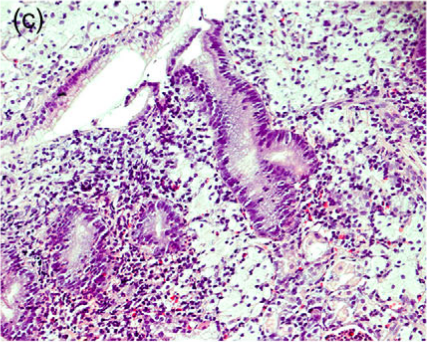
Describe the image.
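Inflamed gastric mucosa with numerous foamy macrophages in the lamina propria. Pale cells with clear, vacuolated cytoplasm and small nuclei lie in loose clusters between the glands, especially toward the upper right. Gastric glands lined by tall columnar epithelium with pale apical cytoplasm and dark basal nuclei cross the field. Around the glands, especially in the lower left, the lamina propria is densely packed with small dark inflammatory cells, and scattered red blood cells are seen near the bottom. Open clefts lie at the upper left.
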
